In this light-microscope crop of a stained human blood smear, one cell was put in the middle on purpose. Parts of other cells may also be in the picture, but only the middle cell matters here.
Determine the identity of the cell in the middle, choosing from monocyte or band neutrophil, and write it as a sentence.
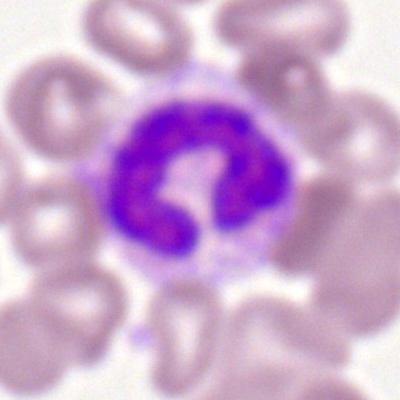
Here the cell in the middle is a band neutrophil.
